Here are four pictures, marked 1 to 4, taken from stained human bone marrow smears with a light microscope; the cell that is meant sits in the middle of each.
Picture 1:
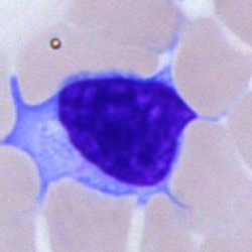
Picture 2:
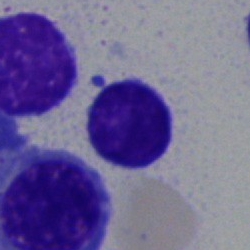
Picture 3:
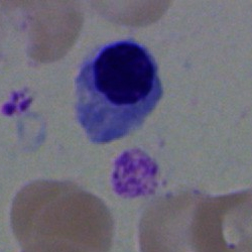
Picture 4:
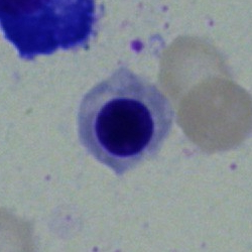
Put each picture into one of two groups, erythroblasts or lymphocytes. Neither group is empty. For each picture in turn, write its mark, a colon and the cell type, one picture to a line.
1: lymphocyte
2: lymphocyte
3: erythroblast
4: erythroblast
